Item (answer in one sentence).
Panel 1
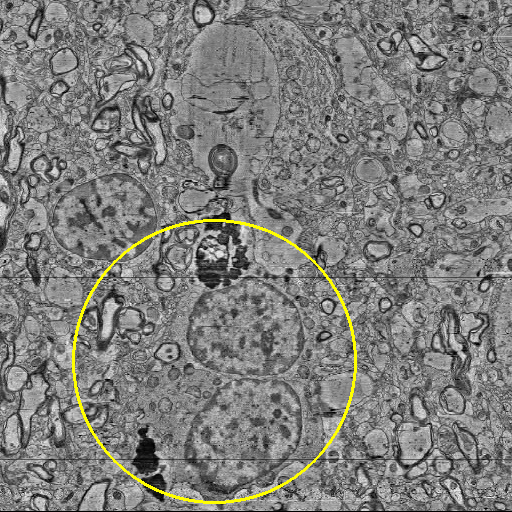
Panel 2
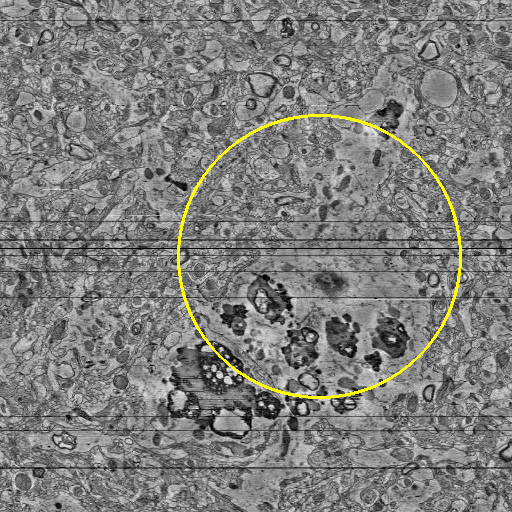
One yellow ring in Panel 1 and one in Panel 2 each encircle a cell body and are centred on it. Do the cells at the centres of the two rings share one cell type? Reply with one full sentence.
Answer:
No, Panel 1 and Panel 2 show cells of two types at the centres of their rings.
